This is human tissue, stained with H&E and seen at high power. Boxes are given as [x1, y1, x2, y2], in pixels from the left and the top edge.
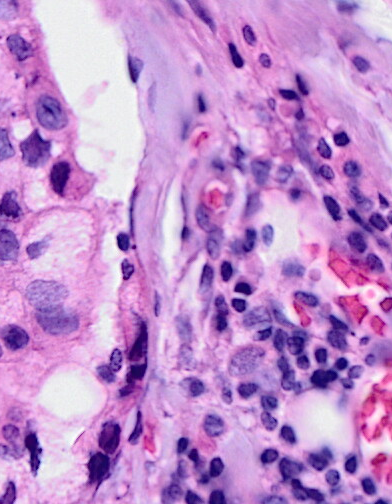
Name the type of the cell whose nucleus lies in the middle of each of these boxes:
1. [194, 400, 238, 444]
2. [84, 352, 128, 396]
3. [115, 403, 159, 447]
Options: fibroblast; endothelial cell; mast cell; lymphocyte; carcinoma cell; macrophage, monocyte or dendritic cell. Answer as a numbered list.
1. mast cell
2. lymphocyte
3. endothelial cell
